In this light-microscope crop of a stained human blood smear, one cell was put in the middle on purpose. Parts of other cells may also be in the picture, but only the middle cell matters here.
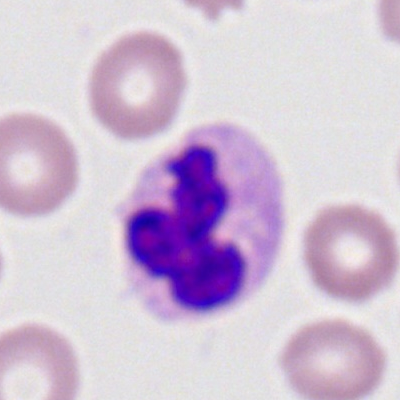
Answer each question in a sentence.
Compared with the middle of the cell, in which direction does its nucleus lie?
The nucleus is pushed toward the lower left of the cell.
